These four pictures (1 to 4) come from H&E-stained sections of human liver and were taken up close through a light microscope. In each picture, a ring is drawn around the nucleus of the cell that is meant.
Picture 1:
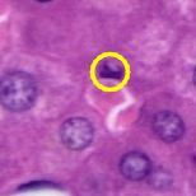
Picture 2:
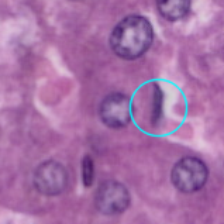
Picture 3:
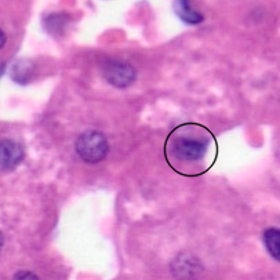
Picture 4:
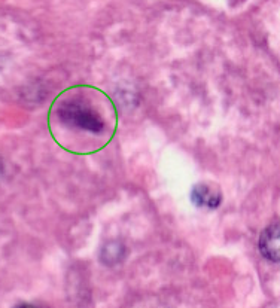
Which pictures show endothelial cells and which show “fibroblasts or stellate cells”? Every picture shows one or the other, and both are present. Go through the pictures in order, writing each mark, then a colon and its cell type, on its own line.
1: fibroblast or stellate cell
2: endothelial cell
3: fibroblast or stellate cell
4: fibroblast or stellate cell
